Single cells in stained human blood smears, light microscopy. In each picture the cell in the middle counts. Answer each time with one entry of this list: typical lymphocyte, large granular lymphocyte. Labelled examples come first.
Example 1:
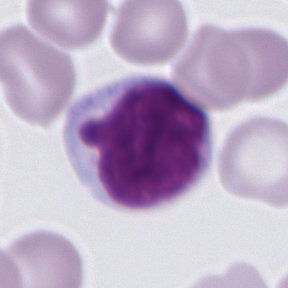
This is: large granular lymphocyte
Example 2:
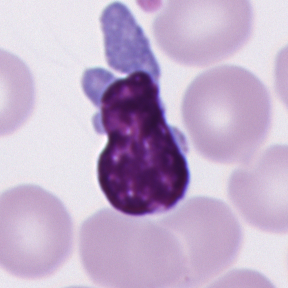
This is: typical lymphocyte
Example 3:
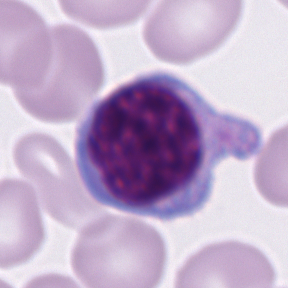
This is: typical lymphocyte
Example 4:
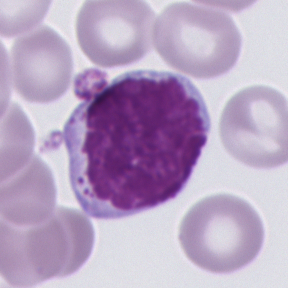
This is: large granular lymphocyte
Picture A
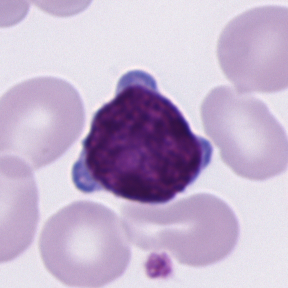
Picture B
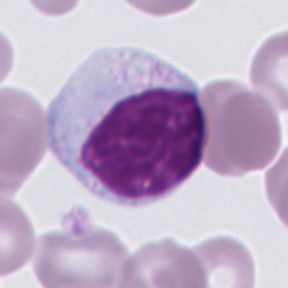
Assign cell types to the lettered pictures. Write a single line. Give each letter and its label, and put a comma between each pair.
A typical lymphocyte, B large granular lymphocyte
